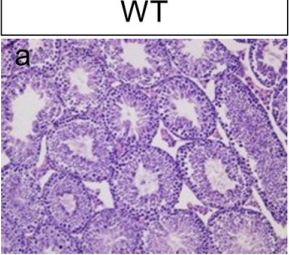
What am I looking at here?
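Here I see many round cross-sections of seminiferous tubules packed closely together, separated only by thin strands of interstitial tissue. Toward the centre the cells become smaller and more tightly packed, and the lumen holds pale pink, wispy material radiating inward like strands of tails. The epithelium looks even and complete all around each tubule, without obvious gaps. This is the compact, orderly architecture of a testis with tubules full of developing germ cells.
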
